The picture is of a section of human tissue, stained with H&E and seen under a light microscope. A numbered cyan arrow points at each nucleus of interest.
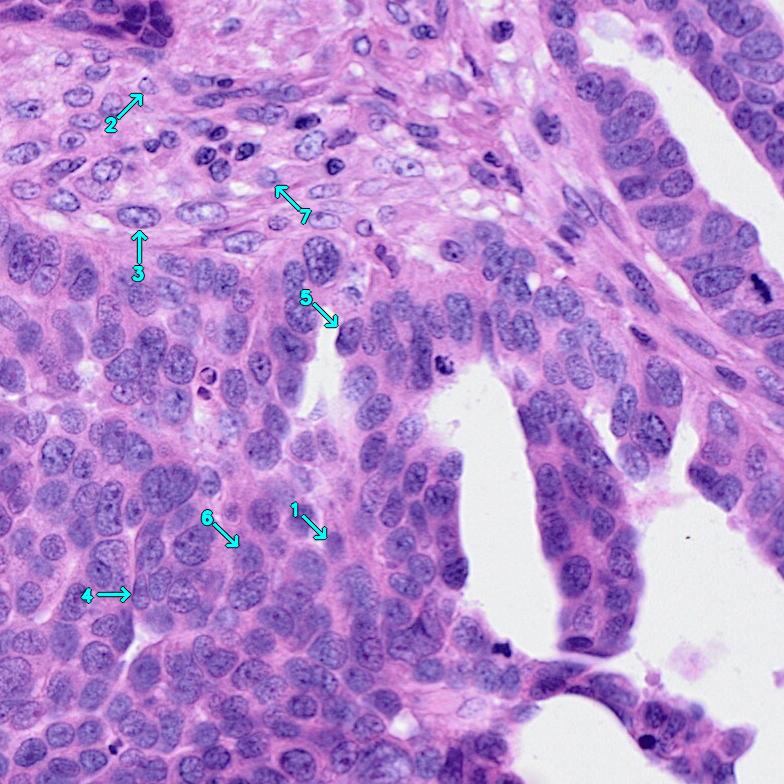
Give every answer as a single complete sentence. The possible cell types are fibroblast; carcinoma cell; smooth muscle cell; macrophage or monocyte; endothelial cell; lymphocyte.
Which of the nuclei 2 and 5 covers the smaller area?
It is nucleus 2; nucleus 5 has about 3 times its area.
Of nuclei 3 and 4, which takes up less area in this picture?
The smaller nucleus is 4, and 3 covers roughly 2 times its area.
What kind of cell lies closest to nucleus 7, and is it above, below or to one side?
It is a lymphocyte, whose nucleus lies above and to the left of nucleus 7.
